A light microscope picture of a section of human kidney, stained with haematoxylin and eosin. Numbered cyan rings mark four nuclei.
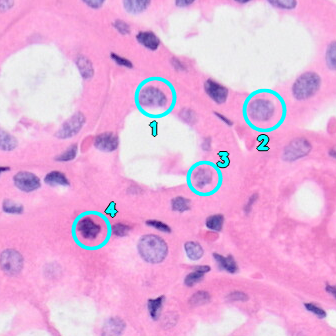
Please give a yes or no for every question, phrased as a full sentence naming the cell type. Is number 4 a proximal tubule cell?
Yes. The cell carrying number 4 is a proximal tubule cell.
